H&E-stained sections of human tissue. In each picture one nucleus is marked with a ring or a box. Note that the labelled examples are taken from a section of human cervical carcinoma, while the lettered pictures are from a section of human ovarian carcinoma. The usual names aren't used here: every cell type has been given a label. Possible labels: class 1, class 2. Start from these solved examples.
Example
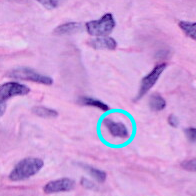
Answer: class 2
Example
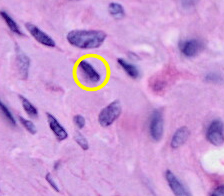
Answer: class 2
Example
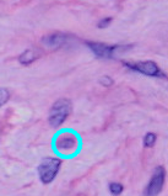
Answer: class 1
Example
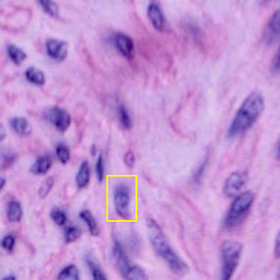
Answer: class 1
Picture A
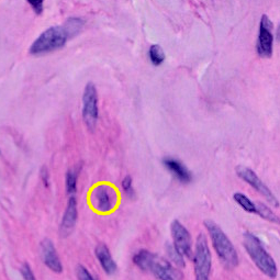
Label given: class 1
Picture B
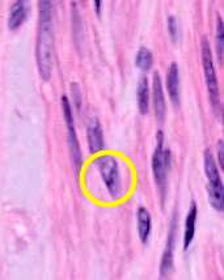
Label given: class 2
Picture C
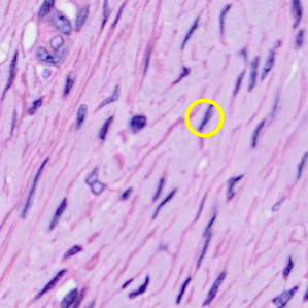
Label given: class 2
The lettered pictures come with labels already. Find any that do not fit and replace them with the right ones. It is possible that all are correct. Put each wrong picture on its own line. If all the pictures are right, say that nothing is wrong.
B: class 1, not class 2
